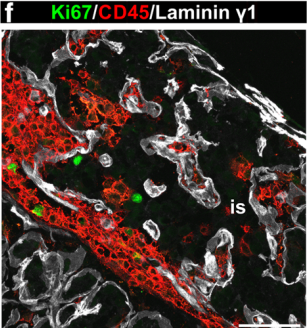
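Inflamed pancreatic islet with a dense band of red-outlined immune cells running diagonally along the lower left, and further immune cells scattered among the islet's endocrine tissue. The islet is criss-crossed by many white tubular and looping basement-membrane profiles of its capillaries.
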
